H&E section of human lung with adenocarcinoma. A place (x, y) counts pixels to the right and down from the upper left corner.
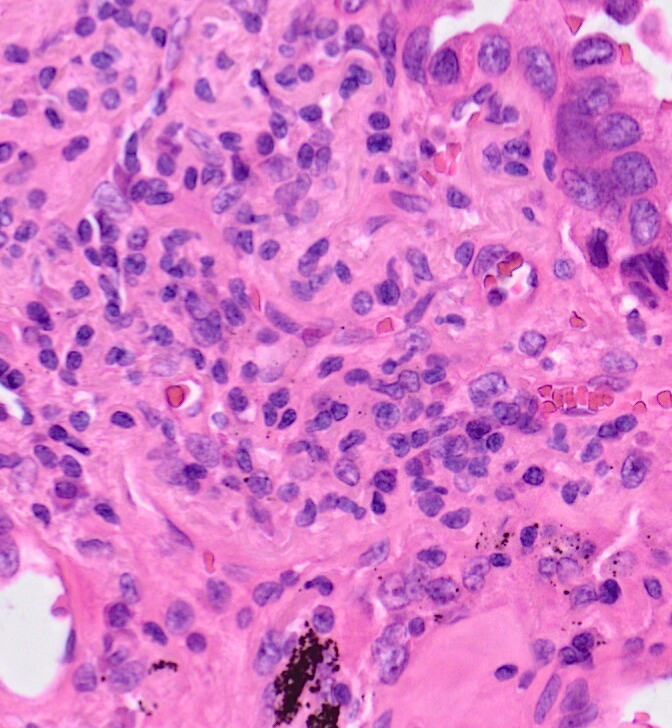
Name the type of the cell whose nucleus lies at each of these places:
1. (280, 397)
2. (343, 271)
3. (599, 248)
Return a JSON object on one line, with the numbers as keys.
{"1": "lymphocyte", "2": "lymphocyte", "3": "carcinoma cell"}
